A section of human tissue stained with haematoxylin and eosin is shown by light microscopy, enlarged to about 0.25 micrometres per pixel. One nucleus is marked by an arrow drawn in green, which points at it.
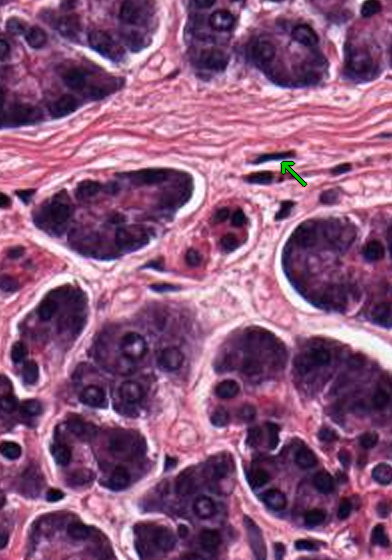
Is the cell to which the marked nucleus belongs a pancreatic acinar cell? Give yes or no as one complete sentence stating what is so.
No, the marked nucleus belongs to a supporting cell, and a pancreatic acinar cell is not its owner.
